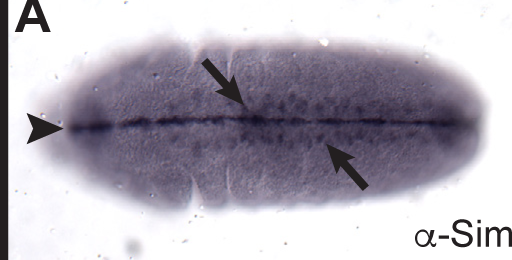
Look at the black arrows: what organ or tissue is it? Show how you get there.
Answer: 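The arrows point at scattered stained clusters to either side of the central line.
Muscle.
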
